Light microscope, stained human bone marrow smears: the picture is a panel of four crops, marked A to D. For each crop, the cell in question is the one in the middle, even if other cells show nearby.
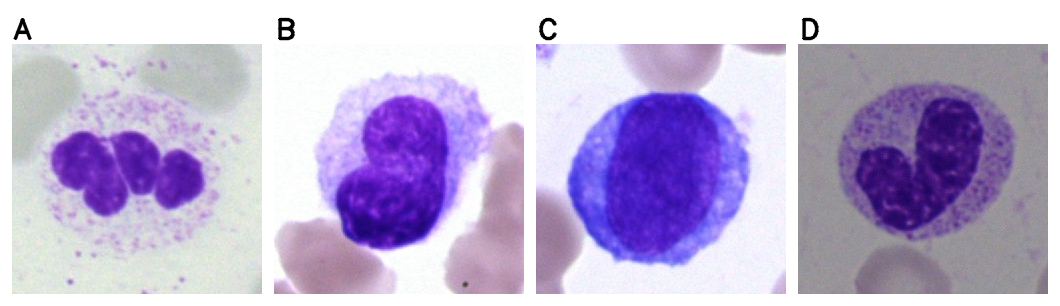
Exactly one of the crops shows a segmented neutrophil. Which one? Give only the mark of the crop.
A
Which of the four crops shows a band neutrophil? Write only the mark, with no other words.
D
